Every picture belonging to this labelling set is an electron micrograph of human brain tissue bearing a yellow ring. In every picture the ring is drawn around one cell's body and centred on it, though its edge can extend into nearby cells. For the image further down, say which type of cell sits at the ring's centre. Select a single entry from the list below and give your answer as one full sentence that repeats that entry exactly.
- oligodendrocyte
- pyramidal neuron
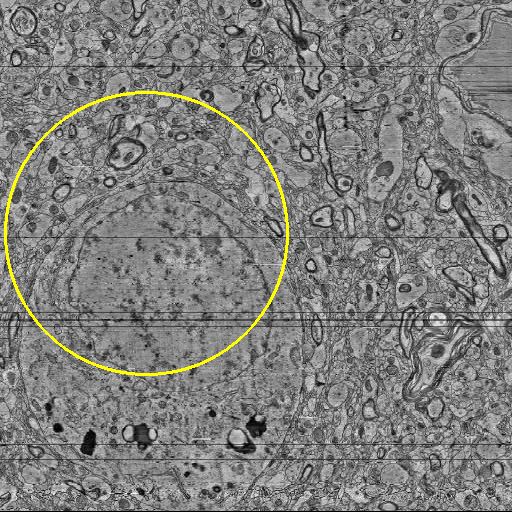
In the picture, a pyramidal neuron is the cell at the centre of the yellow ring.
